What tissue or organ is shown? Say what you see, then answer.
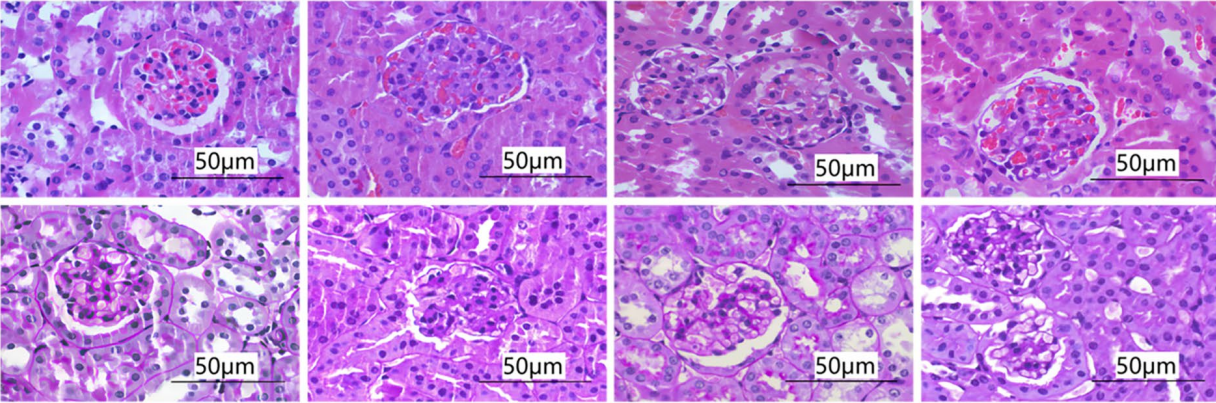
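Kidney tissues. Round tufts of capillary loops sit inside a thin capsule with a clear space around them. The tufts are surrounded by many cross-sectioned tubules lined by cuboidal cells with round nuclei. Pink eosinophilic cytoplasm in the upper images, magenta outlined basement membranes in the lower images.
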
